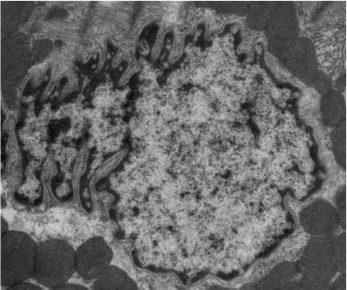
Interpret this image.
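This is a nucleus in heart muscle seen by electron microscopy. It is large and roughly round, with a pale, finely granular interior and scattered darker clumps of chromatin. Its envelope is dark and thrown into many deep folds, especially along its upper side. Dense mitochondria and striated myofibrils lie around it.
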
